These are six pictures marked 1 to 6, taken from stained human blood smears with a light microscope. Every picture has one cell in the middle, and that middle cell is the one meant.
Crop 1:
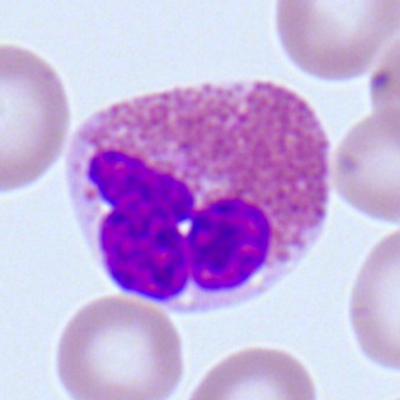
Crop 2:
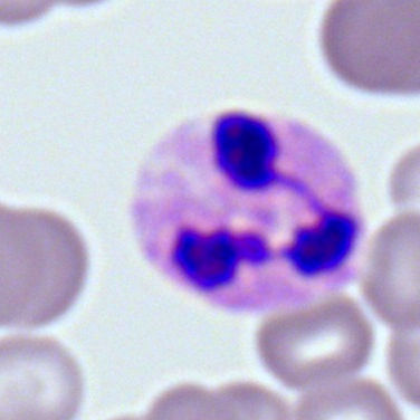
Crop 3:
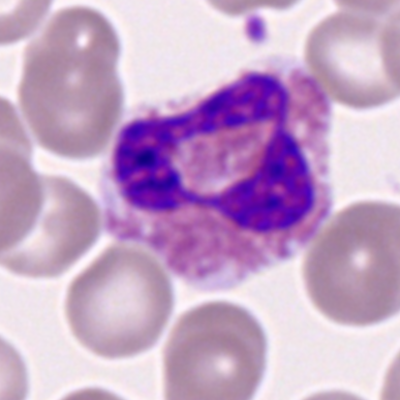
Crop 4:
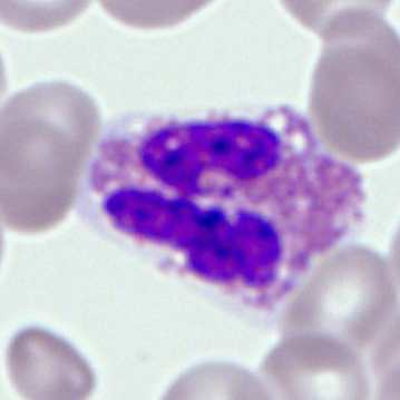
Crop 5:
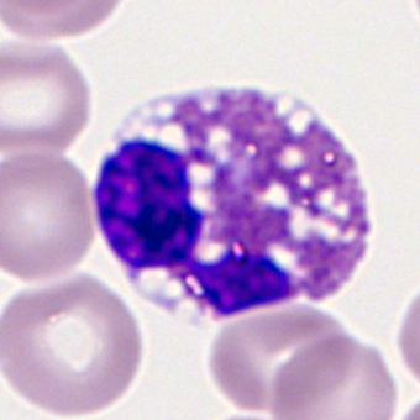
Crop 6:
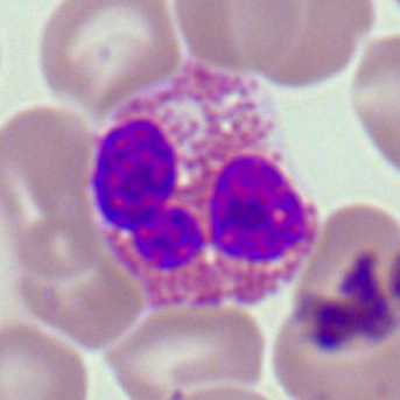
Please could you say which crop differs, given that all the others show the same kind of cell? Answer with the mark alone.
2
